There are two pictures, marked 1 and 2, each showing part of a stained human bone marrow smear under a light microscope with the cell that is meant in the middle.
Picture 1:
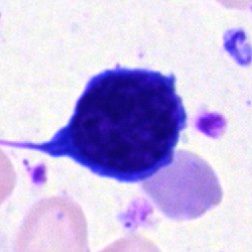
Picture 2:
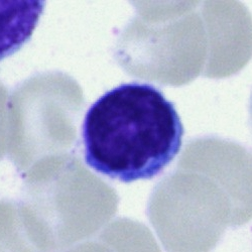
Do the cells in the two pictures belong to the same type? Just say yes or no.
yes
